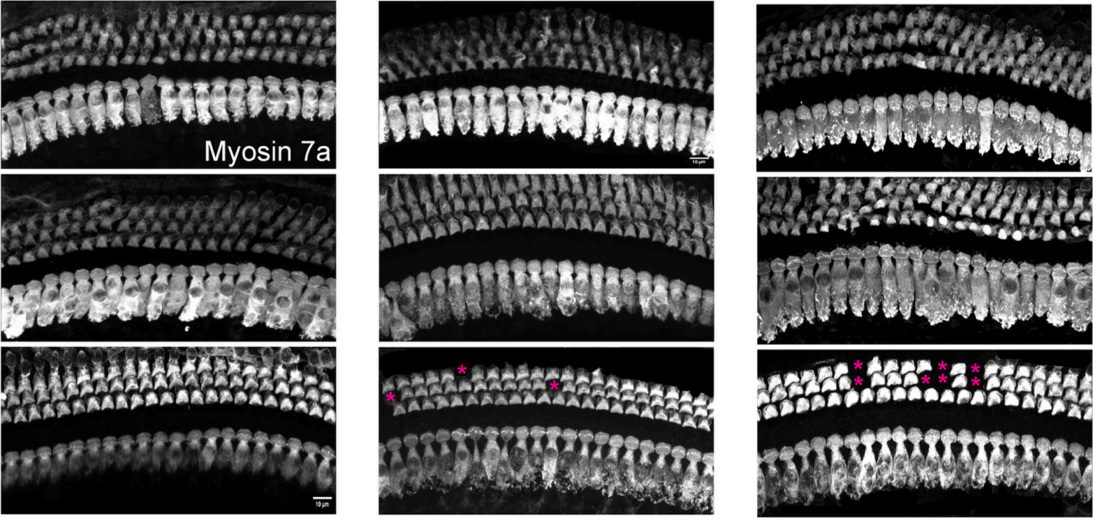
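This is the sensory epithelium of the cochlea seen from above, with hair cells bright on a dark background. In every image a single row of larger, flask-shaped inner hair cells runs along one side, and across a dark gap lie three neat rows of smaller, rounded outer hair cells. In some of the base images a few places in the outer rows stand empty where cells are missing, while the inner row stays unbroken.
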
